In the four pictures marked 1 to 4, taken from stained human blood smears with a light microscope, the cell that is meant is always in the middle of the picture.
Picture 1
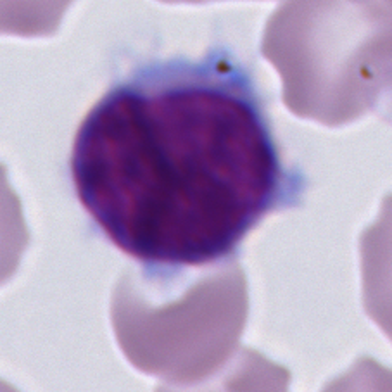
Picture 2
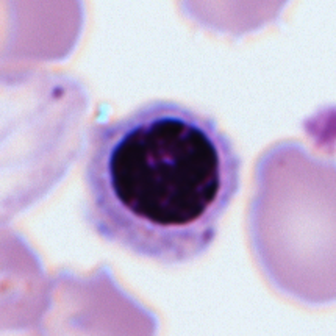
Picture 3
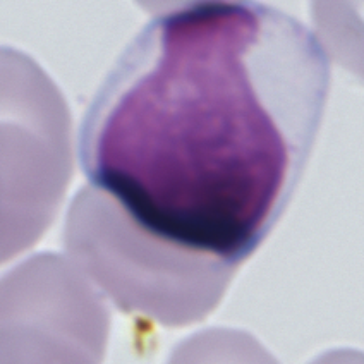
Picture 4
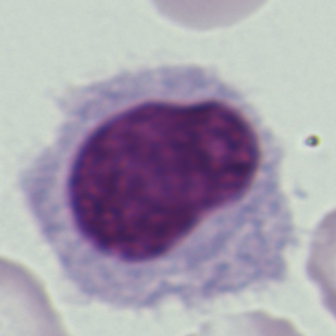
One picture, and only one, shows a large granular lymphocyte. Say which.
3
